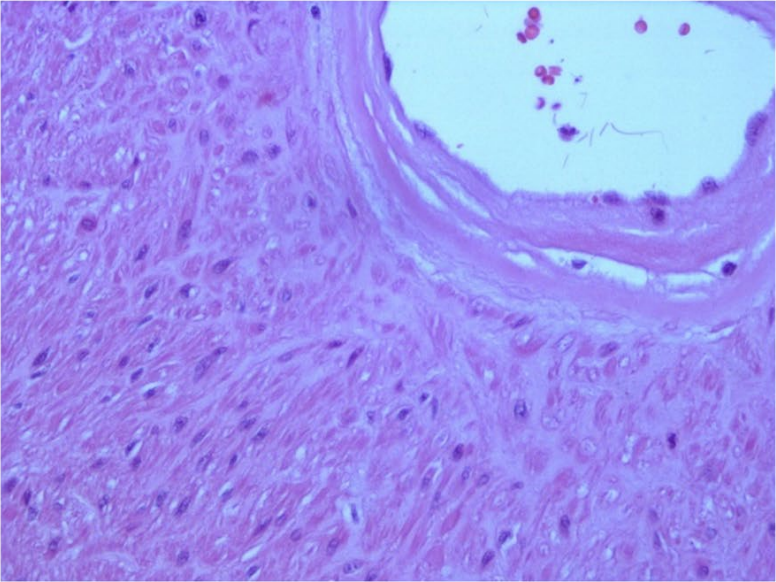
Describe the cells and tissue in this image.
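Spindle shaped cells lie in streaming, interlacing bundles around a vascular structure in the upper right corner. The cells have elongated to oval nuclei of fairly even size and pale pink cytoplasm with indistinct cell borders. The vessel has a thin layer of flattened lining cells and a pink, layered wall, with a few red blood cells in its lumen. No marked nuclear pleomorphism is visible.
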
